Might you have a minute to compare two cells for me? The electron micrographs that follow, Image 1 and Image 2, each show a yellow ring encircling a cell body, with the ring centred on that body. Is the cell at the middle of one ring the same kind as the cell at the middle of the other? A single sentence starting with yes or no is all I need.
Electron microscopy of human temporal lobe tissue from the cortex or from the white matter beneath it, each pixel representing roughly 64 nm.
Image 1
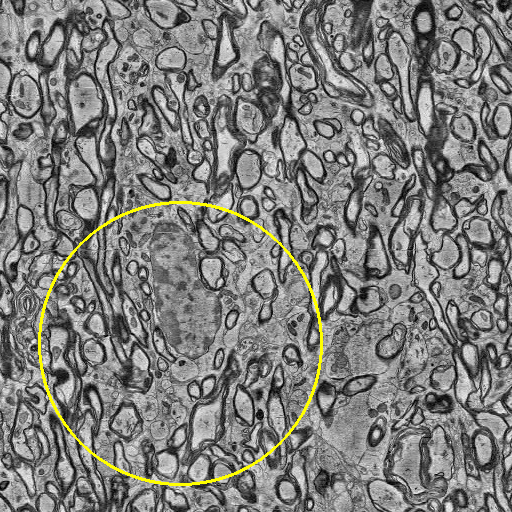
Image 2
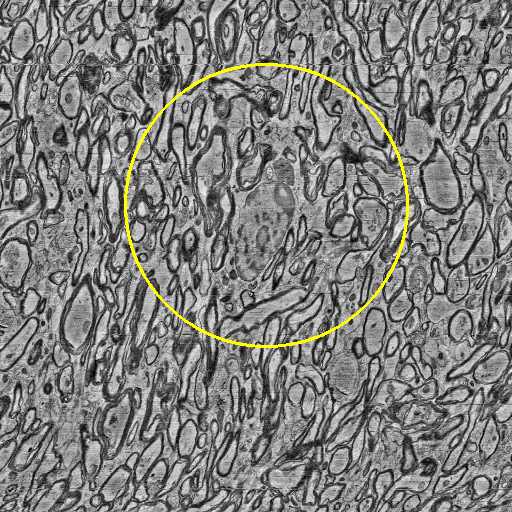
Yes, the cells in the middle of the two rings are of one shared kind.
